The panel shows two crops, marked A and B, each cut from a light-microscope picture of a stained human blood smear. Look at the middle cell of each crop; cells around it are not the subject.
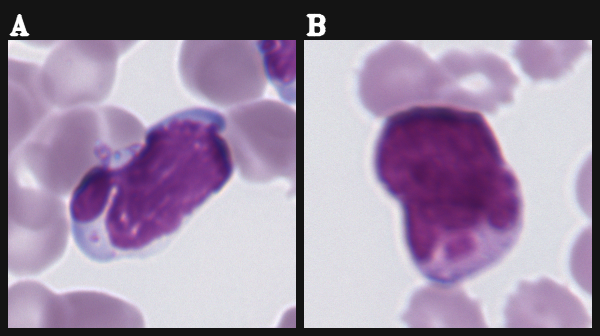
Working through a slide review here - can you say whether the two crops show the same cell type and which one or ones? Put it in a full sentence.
No, crop A has a large granular lymphocyte at its center, and crop B has a myeloblast.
